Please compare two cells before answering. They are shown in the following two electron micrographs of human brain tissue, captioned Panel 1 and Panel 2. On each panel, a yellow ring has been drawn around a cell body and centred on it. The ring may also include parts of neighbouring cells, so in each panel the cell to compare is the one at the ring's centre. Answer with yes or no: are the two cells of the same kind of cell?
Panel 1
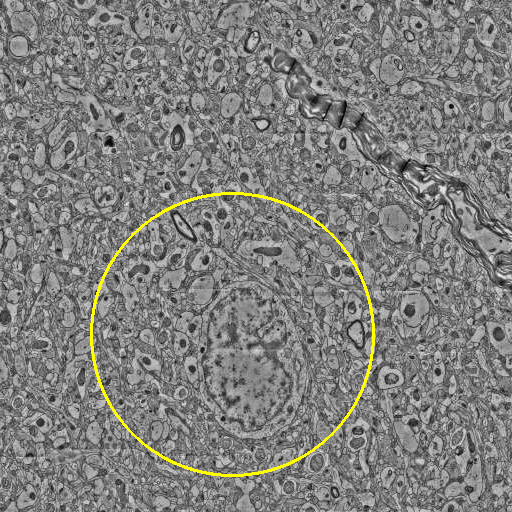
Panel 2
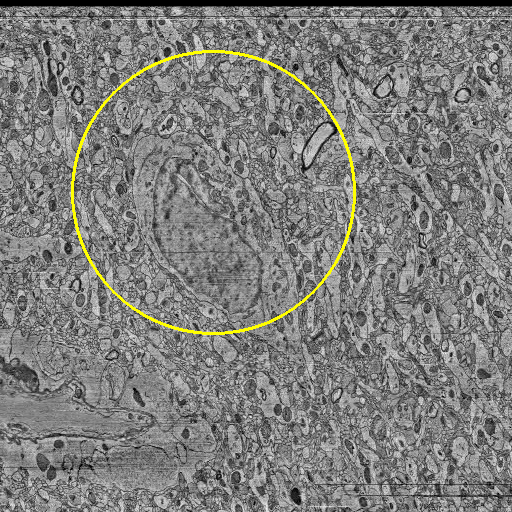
yes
